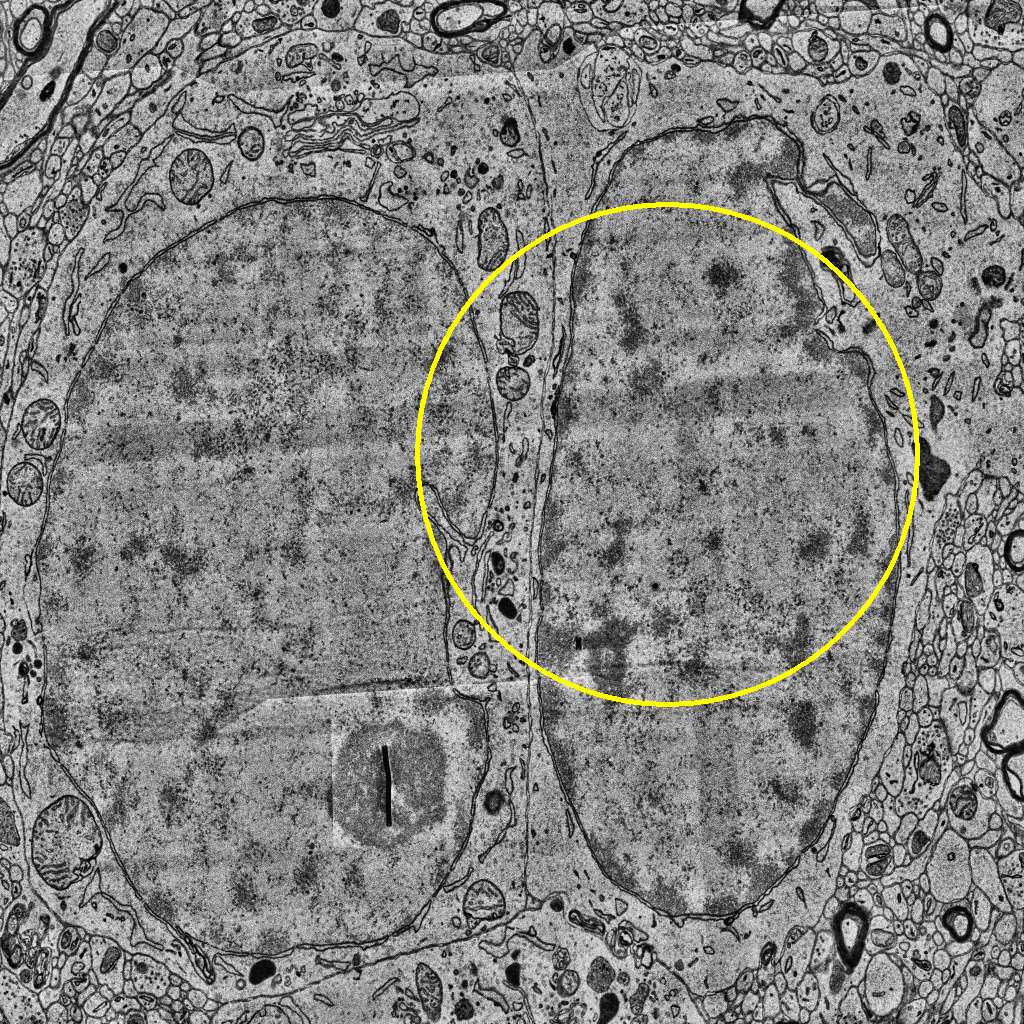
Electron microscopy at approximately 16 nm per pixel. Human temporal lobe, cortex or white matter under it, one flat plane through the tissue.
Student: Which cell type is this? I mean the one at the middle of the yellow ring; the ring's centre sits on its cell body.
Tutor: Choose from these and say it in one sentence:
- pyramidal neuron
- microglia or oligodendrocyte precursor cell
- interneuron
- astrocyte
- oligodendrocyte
The cell at the ring's centre is a microglial cell or oligodendrocyte precursor cell.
